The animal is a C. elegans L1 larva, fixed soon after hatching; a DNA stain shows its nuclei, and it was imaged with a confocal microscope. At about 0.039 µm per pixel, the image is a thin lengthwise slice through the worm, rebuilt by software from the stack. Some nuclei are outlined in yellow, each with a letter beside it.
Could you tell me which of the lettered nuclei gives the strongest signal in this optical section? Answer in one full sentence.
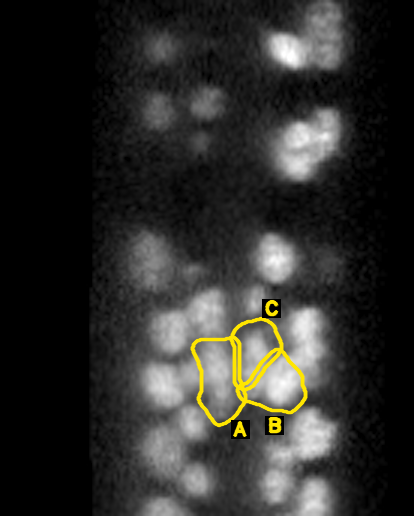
B is the most strongly stained.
